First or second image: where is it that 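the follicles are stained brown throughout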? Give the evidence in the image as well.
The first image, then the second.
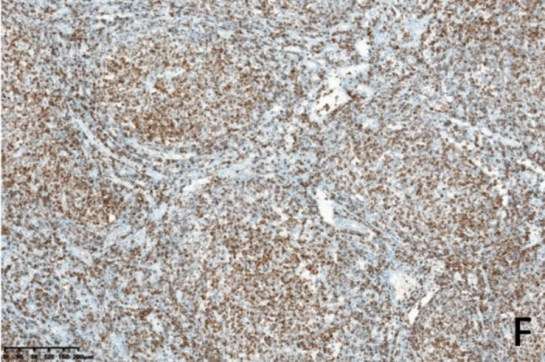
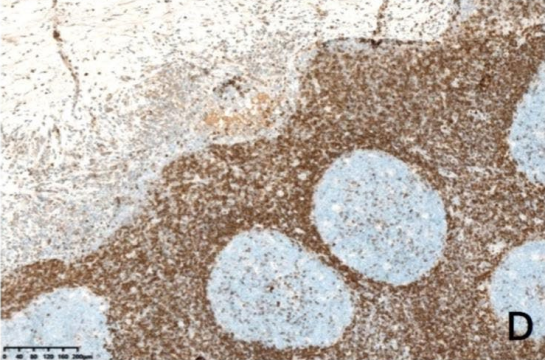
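The first image. First image: the nodules are filled with brown-stained cells. Second image: the round follicle centres are pale blue, unstained, against brown surroundings.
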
